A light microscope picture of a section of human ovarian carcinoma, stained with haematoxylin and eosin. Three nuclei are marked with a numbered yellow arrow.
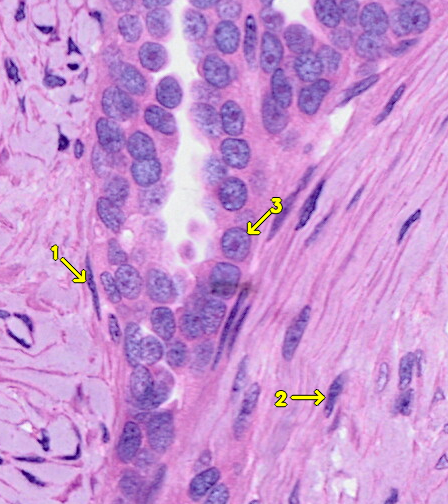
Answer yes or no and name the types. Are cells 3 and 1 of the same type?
No, cell 3 is a carcinoma cell and cell 1 is a fibroblast.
